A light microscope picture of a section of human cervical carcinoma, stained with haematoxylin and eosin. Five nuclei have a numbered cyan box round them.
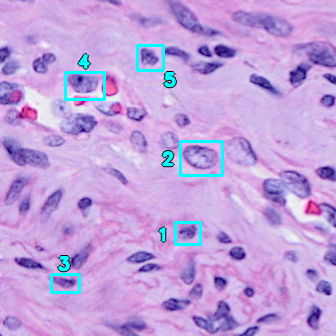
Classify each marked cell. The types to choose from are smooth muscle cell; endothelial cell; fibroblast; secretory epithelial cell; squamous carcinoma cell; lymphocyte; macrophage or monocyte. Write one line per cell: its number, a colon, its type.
1: smooth muscle cell
2: endothelial cell
3: smooth muscle cell
4: endothelial cell
5: fibroblast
